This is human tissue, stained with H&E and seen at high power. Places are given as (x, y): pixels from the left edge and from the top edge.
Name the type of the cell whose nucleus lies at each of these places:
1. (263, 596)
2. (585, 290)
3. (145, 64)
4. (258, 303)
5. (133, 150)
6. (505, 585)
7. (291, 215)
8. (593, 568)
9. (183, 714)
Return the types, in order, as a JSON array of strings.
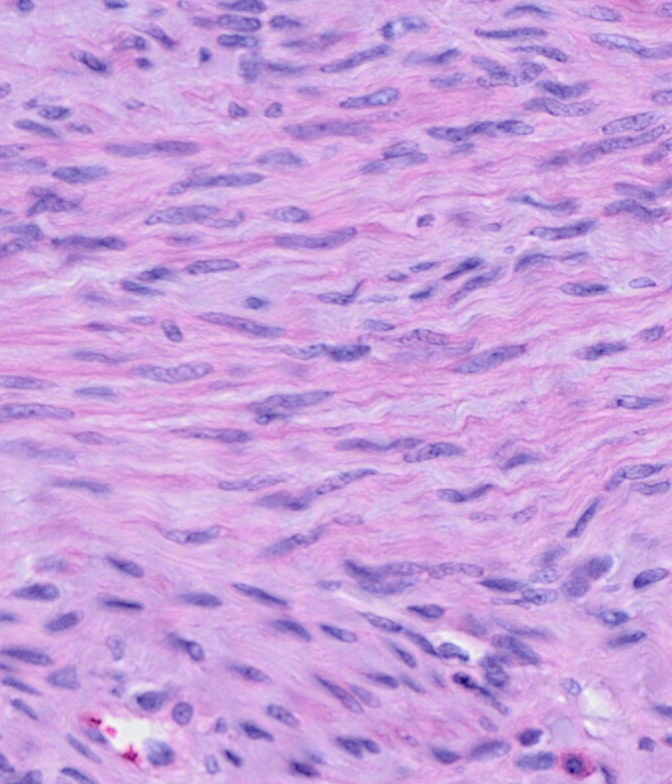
["fibroblast", "smooth muscle cell", "smooth muscle cell", "fibroblast", "smooth muscle cell", "fibroblast", "smooth muscle cell", "fibroblast", "endothelial cell"]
